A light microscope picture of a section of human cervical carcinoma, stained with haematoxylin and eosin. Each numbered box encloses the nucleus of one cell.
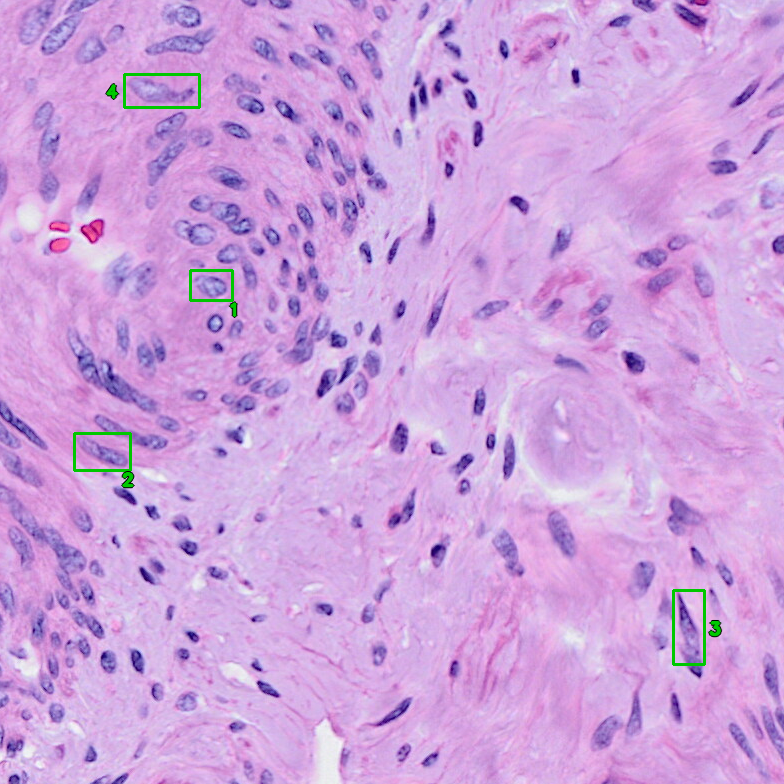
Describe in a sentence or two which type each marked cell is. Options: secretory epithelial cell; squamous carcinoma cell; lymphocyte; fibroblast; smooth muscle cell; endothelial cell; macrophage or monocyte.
Cells 1, 2 and 4 are smooth muscle cells. Cell 3 is a fibroblast.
